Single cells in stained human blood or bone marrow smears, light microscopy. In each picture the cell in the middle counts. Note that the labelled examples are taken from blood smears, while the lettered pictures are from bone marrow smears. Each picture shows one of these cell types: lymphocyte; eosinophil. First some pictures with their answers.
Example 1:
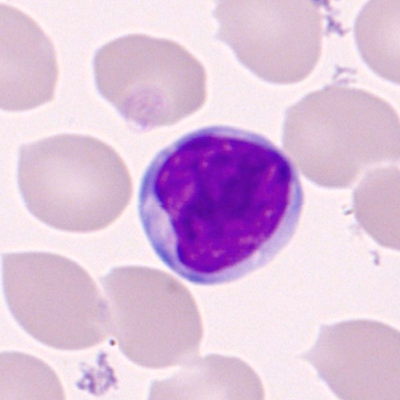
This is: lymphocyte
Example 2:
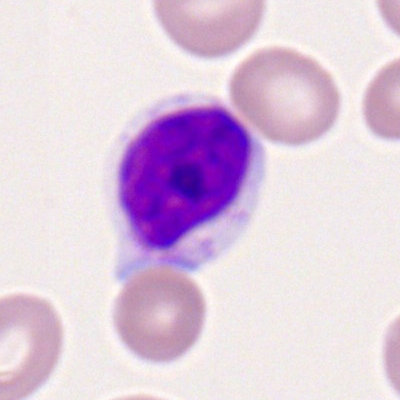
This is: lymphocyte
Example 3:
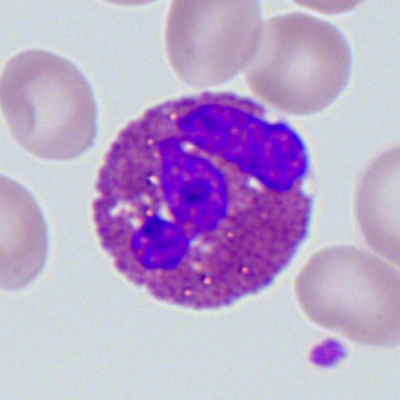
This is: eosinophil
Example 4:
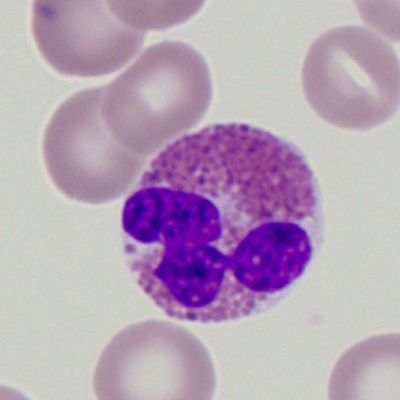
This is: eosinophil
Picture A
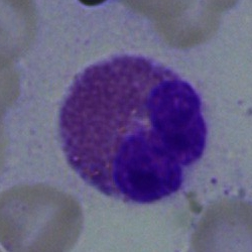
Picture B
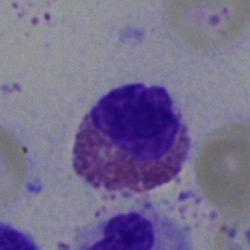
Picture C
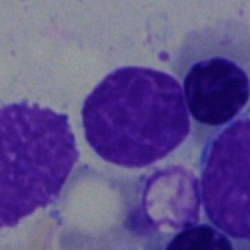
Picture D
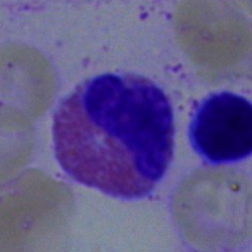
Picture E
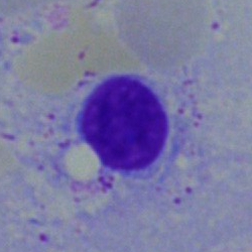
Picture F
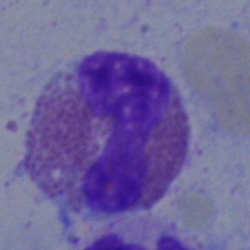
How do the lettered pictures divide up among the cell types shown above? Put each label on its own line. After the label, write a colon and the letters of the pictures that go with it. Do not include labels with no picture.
lymphocyte: C, E
eosinophil: A, B, D, F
